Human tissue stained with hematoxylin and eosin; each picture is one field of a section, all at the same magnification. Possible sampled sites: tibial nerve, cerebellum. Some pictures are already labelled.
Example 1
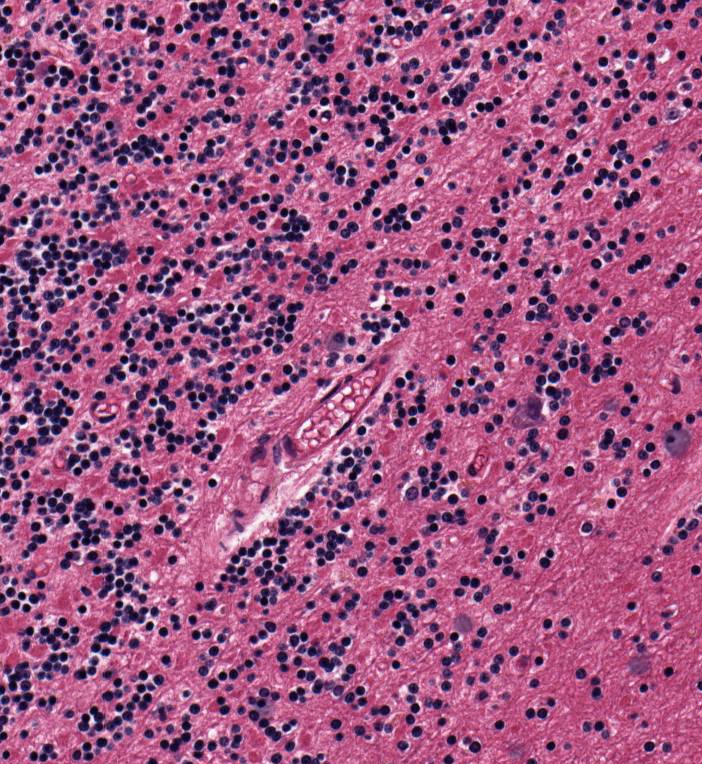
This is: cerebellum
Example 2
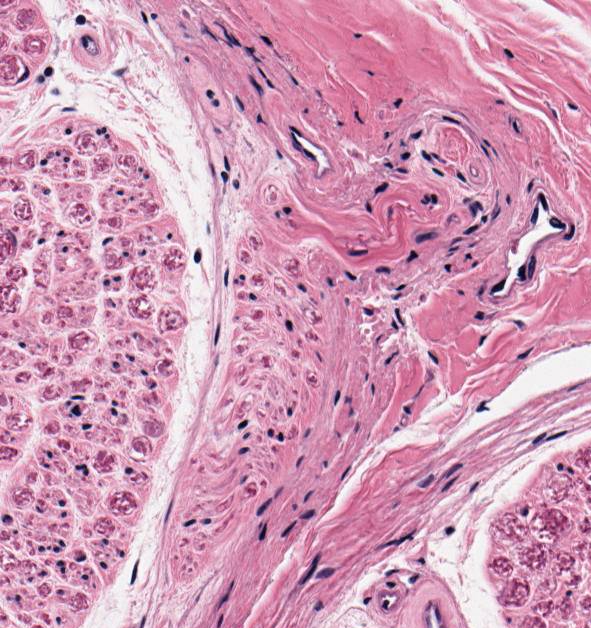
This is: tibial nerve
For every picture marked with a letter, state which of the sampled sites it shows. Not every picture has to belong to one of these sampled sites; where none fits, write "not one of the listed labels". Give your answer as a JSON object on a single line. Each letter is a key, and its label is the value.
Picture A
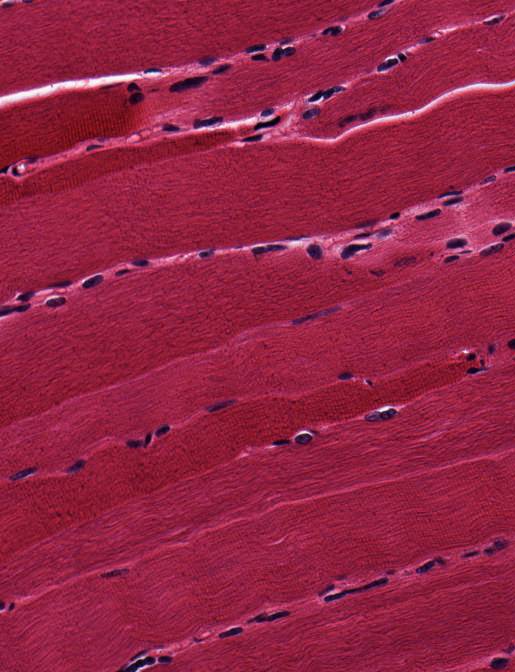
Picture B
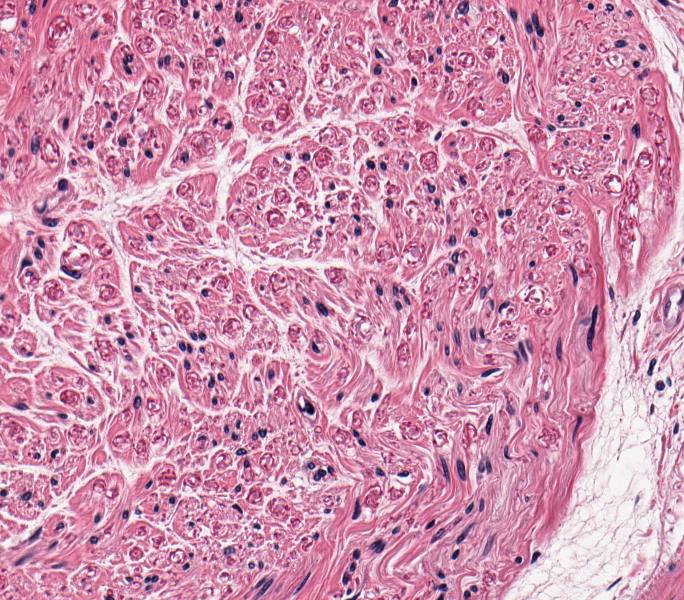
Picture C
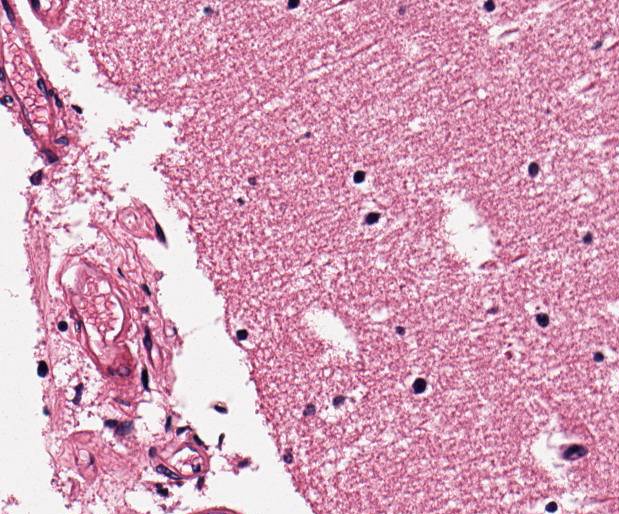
{"A": "not one of the listed labels", "B": "tibial nerve", "C": "cerebellum"}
